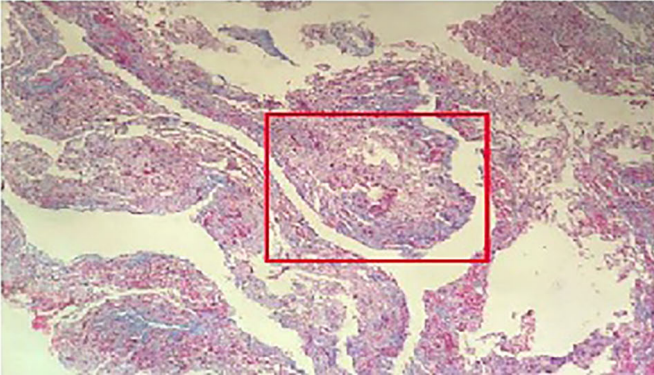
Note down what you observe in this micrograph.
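Irregular strands and lobules of densely packed, red-to-purple stained cells are separated by wide, pale empty clefts. Thin bluish fibrous bands run along the edges of some strands. A red box outlines one rounded lobule that has a small central space.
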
